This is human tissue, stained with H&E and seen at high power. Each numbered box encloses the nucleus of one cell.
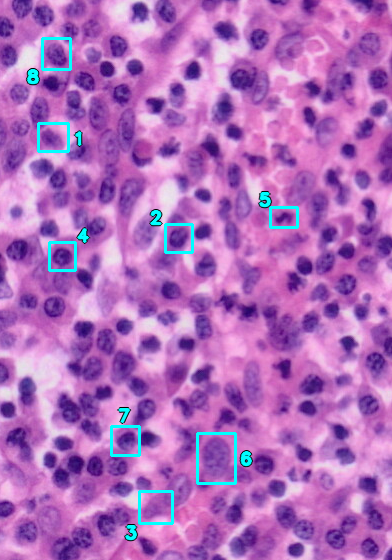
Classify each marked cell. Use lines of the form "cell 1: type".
cell 1: plasma cell
cell 2: plasma cell
cell 3: endothelial cell
cell 4: plasma cell
cell 5: endothelial cell
cell 6: endothelial cell
cell 7: plasma cell
cell 8: plasma cell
